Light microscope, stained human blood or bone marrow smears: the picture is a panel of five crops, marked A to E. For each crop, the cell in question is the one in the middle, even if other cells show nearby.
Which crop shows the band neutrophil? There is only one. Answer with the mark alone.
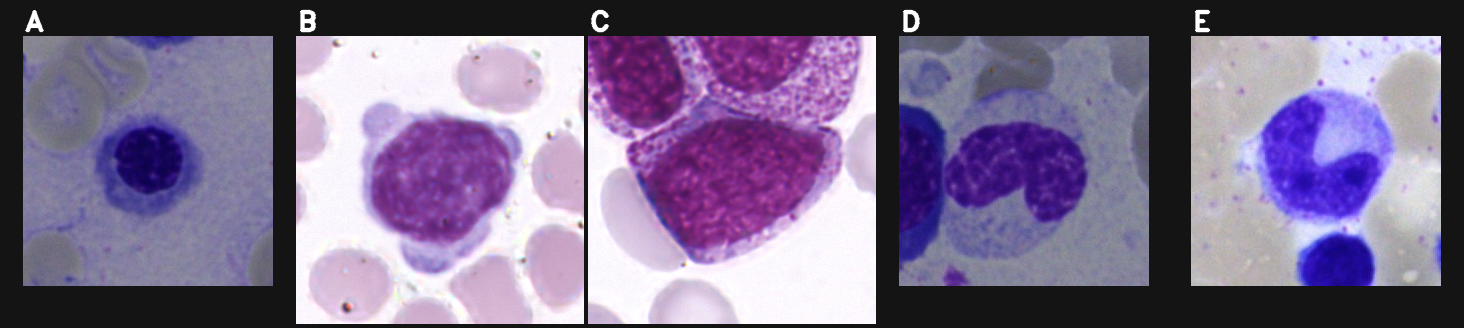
E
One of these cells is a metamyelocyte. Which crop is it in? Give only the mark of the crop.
D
